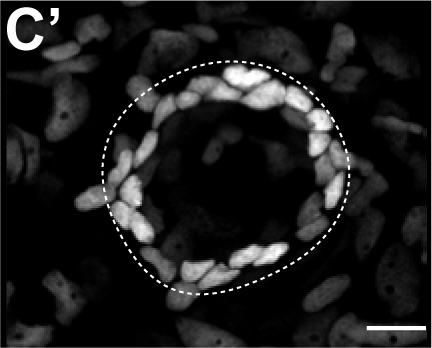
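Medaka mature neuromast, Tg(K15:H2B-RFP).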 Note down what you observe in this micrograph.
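The nuclei are flattened and elongated, lying end to end around the rim of a rounded organ, their long axes following the circumference. Brightness varies around the ring, strongest at the top. Outside the ring, larger, fainter and irregular nuclei of the surrounding skin epithelium are scattered across the field, giving a contrast between the compact organ and the flat covering layer.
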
